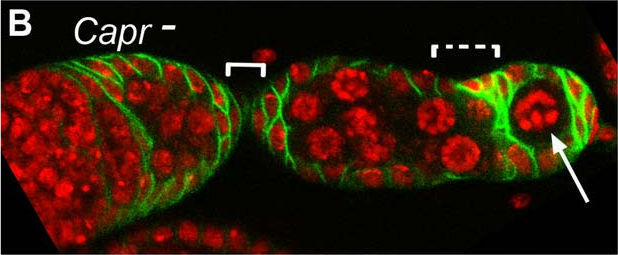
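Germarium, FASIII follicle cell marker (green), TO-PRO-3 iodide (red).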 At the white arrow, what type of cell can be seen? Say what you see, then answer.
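The arrow points to one large round nucleus. That large cell is enclosed on its own by green-outlined small cells at the end of the cluster. That points to this answer: single germline cell.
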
